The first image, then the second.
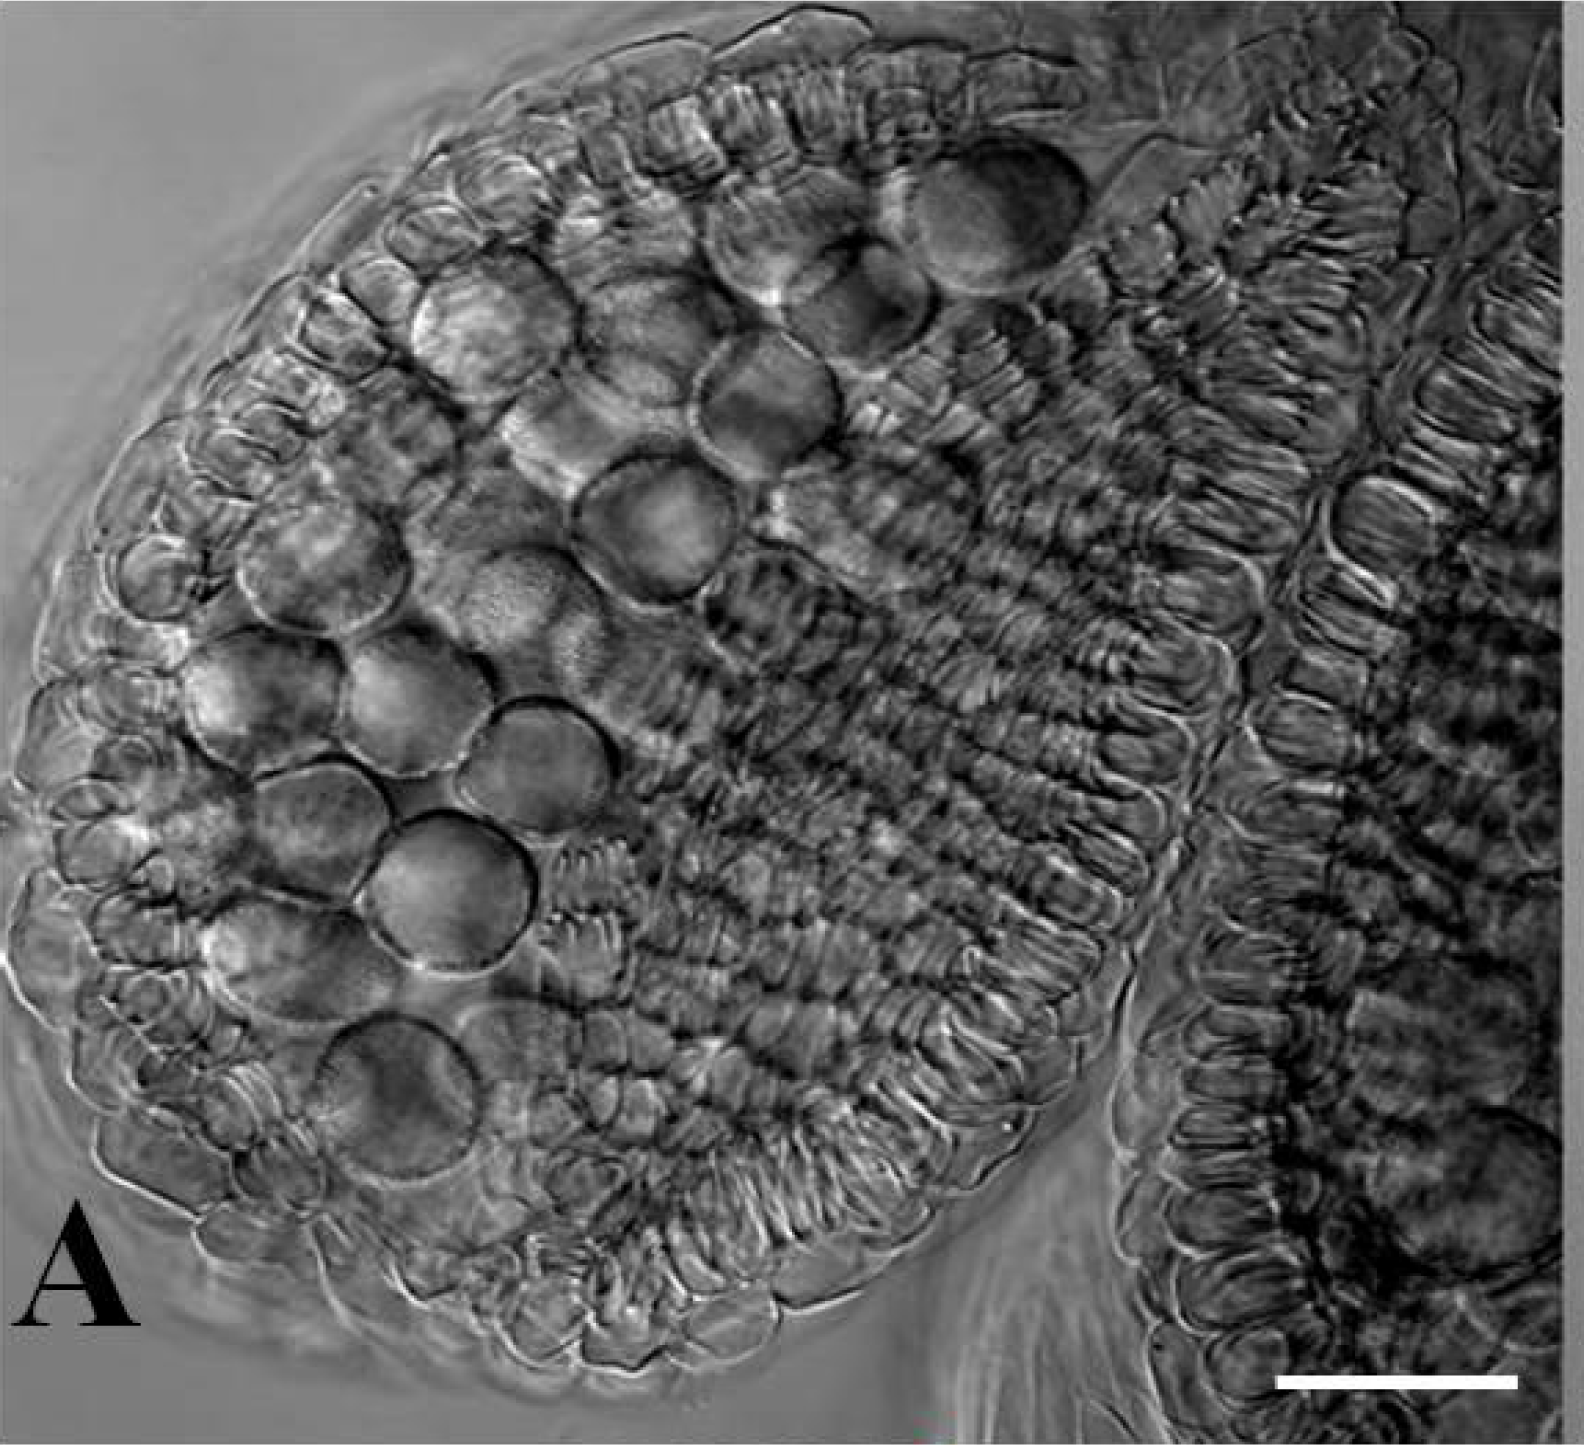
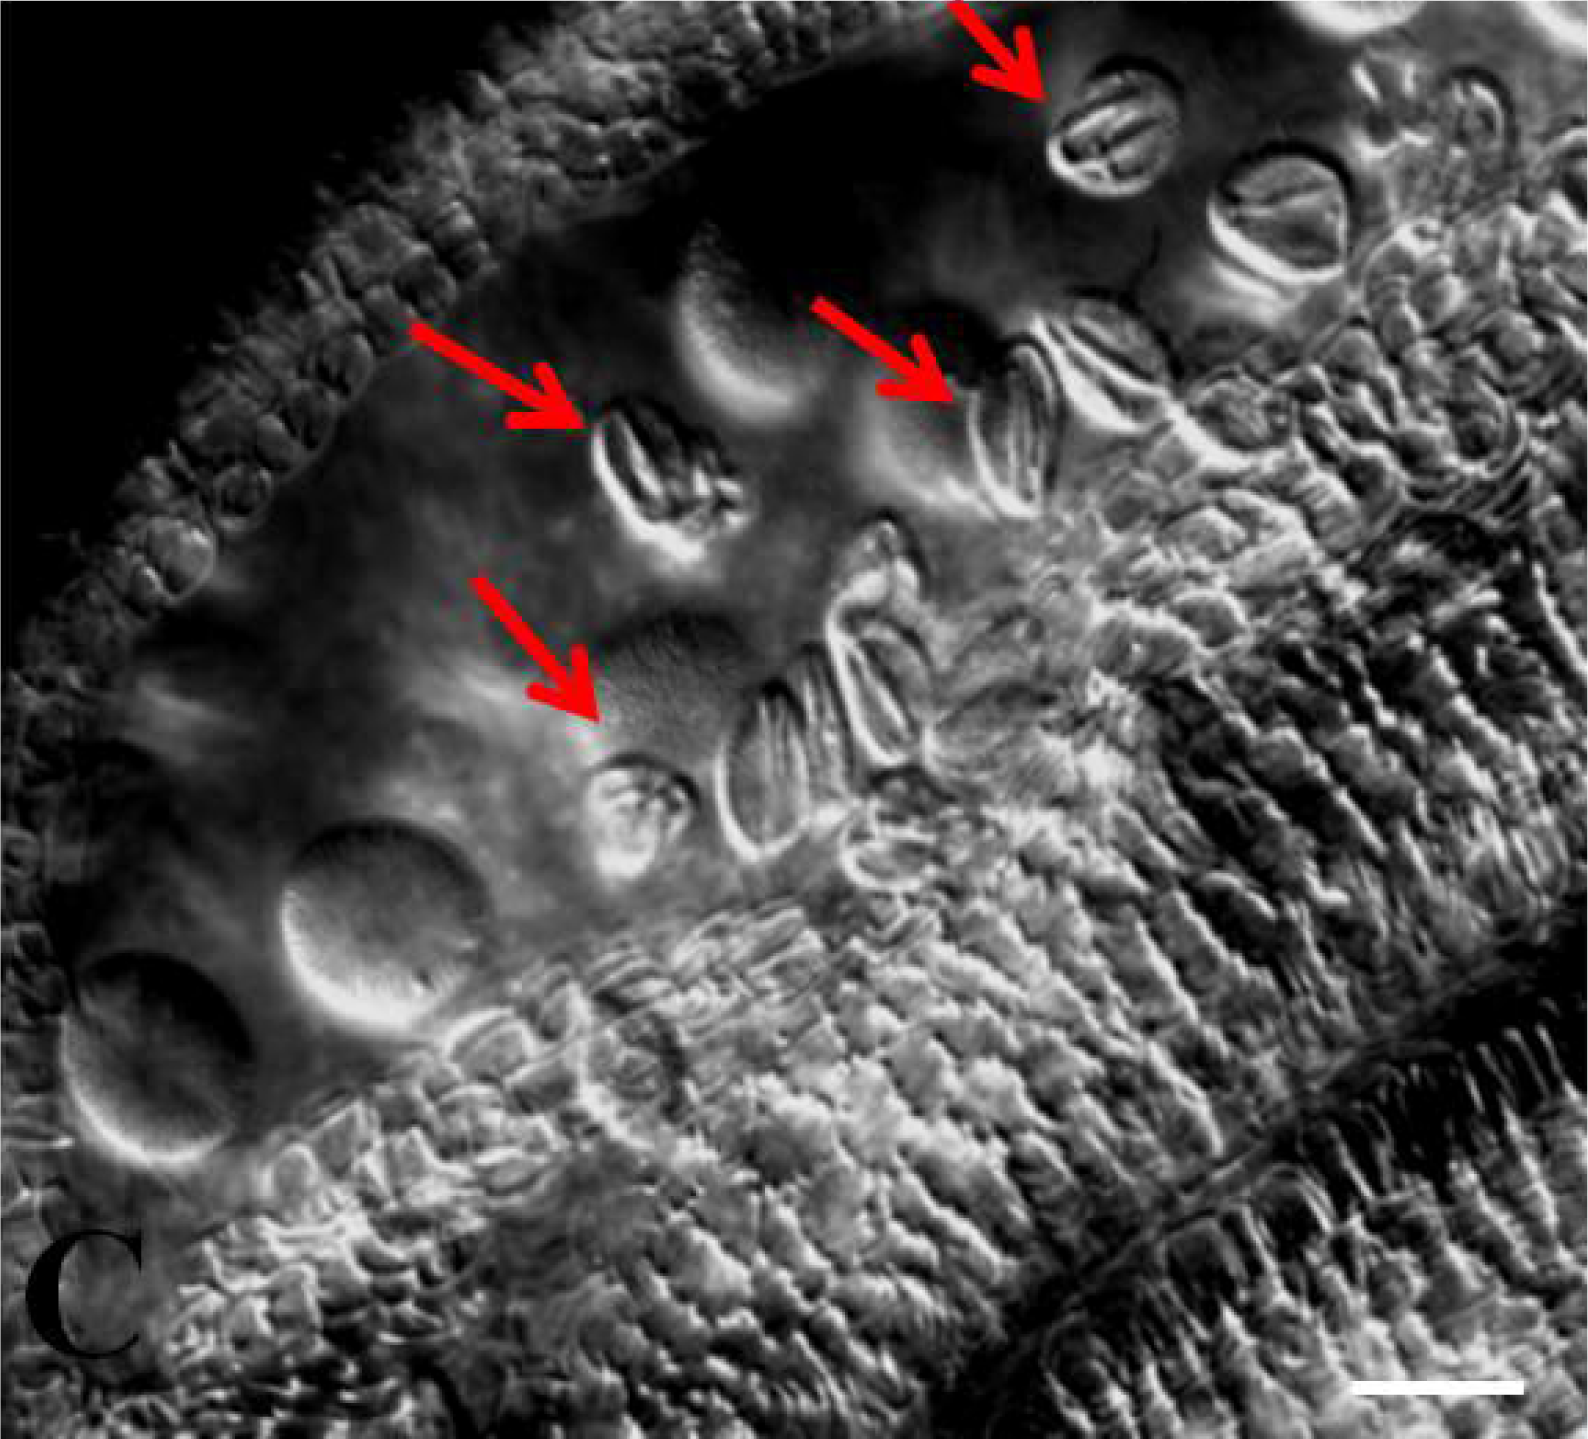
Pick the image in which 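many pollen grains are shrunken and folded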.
The second image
